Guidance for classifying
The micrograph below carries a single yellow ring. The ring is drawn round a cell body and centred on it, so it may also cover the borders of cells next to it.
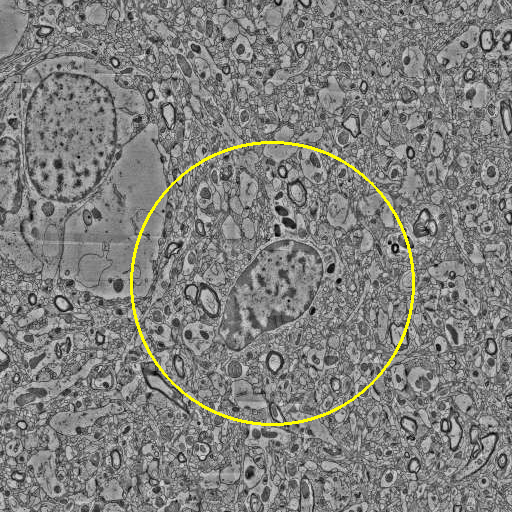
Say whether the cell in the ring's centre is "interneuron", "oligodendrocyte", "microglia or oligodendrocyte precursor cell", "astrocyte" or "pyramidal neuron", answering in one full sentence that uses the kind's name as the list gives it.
Within the yellow ring, a microglial cell or oligodendrocyte precursor cell is the cell whose body sits at the centre.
